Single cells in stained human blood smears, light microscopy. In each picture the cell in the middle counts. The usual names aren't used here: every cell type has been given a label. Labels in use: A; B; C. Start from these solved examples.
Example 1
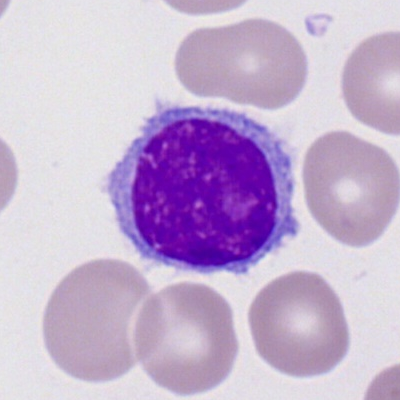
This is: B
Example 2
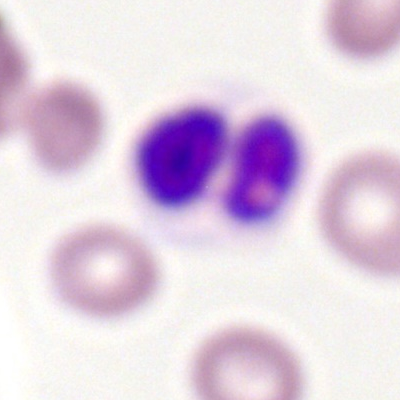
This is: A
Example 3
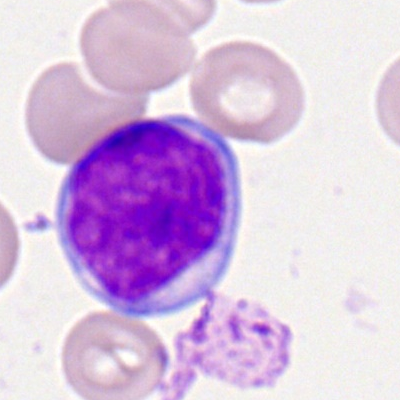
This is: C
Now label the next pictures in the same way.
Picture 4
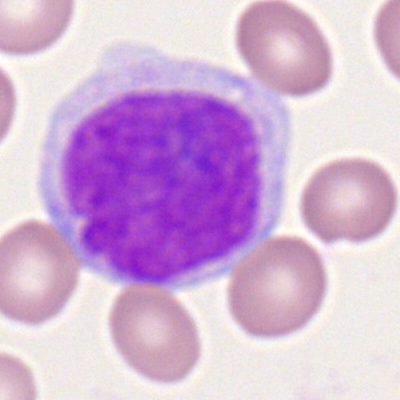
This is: C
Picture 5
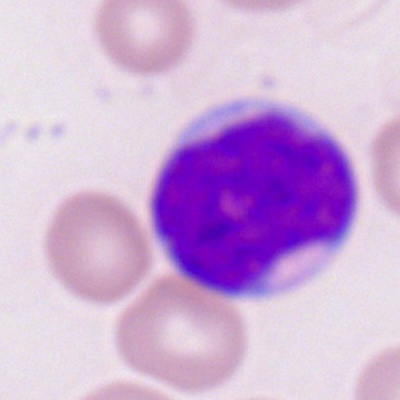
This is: C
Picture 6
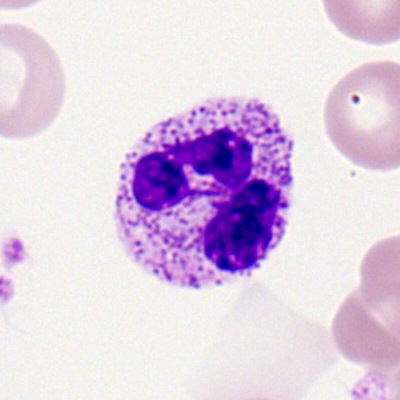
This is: A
